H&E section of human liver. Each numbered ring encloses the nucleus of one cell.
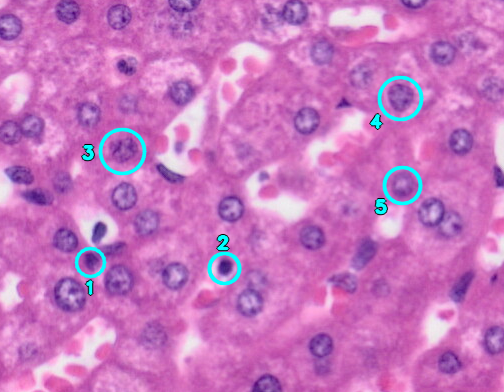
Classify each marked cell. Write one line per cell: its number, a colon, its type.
1: fibroblast or stellate cell
2: lymphocyte
3: hepatocyte
4: hepatocyte
5: hepatocyte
